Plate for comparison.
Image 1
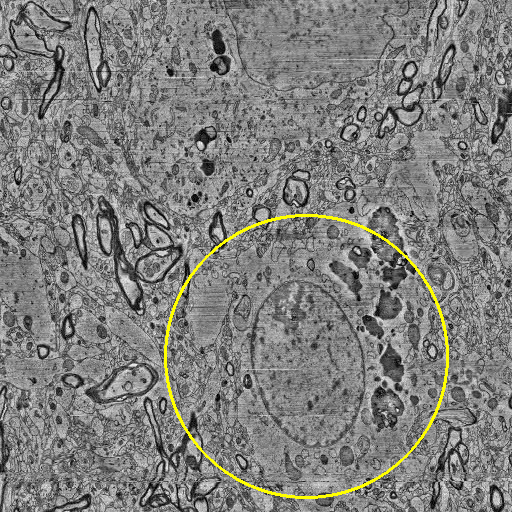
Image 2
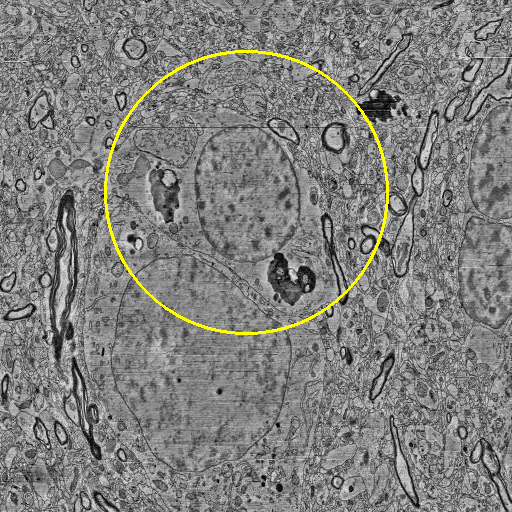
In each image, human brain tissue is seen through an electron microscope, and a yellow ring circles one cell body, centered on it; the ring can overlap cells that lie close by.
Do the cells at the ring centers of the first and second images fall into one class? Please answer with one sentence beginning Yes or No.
Yes, the first and second images show a single class of cell at the ring centers.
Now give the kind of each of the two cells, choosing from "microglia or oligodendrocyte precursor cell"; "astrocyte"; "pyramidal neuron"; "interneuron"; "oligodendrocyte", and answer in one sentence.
The second cell is an astrocyte, just as the first is.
